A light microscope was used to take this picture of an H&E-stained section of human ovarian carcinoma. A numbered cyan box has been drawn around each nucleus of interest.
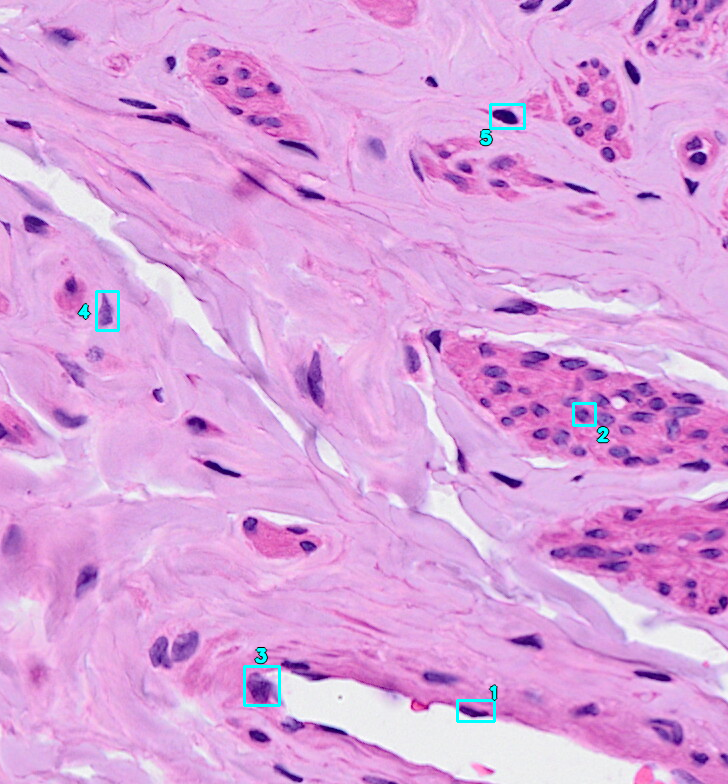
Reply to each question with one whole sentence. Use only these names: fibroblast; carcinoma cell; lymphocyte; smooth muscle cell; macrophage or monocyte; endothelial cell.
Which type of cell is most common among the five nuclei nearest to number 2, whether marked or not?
The majority of the five nuclei closest to number 2 belong to smooth muscle cells.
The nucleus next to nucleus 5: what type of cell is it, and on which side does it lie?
The nearest one is a smooth muscle cell, found below nucleus 5.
